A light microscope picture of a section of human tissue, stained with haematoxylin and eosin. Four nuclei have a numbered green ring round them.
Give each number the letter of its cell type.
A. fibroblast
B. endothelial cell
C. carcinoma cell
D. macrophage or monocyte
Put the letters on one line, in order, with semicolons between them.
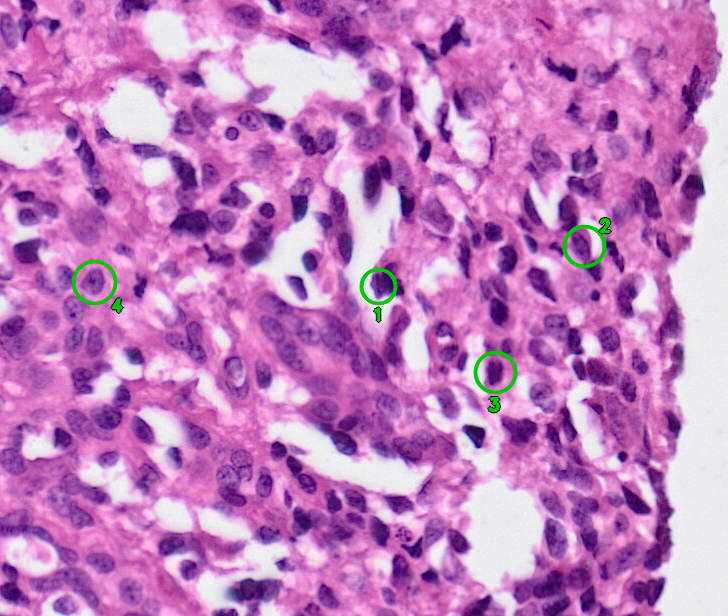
C; C; C; D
